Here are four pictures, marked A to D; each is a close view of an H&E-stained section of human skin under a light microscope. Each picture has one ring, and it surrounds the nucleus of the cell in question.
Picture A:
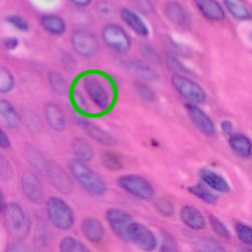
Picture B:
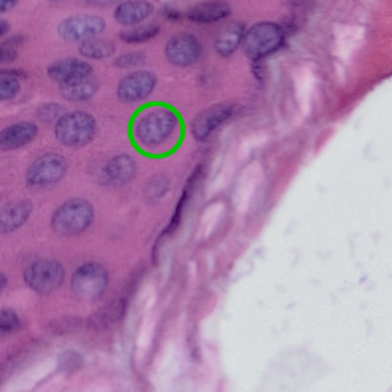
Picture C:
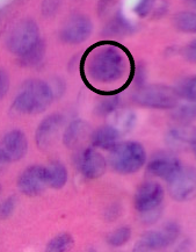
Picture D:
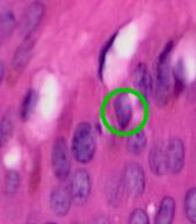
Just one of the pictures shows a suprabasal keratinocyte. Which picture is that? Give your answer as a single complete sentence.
Picture B is the one that shows the suprabasal keratinocyte.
